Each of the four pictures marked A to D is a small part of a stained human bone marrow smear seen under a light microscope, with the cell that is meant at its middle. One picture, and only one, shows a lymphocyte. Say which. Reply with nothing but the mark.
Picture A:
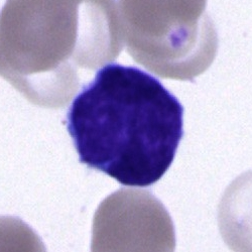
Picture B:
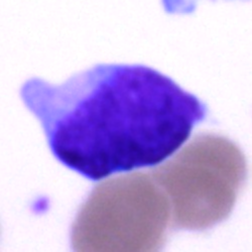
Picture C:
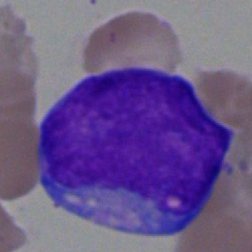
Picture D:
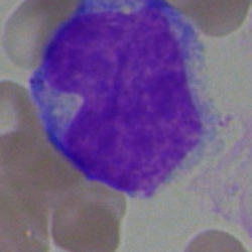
A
